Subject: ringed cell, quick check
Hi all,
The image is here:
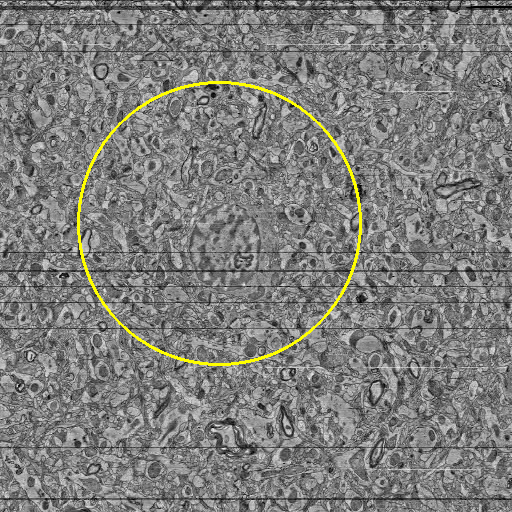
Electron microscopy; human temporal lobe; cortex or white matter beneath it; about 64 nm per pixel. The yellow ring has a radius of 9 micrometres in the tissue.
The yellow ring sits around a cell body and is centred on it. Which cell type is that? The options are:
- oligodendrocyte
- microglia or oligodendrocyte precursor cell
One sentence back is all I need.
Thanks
That ringed cell is an oligodendrocyte.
